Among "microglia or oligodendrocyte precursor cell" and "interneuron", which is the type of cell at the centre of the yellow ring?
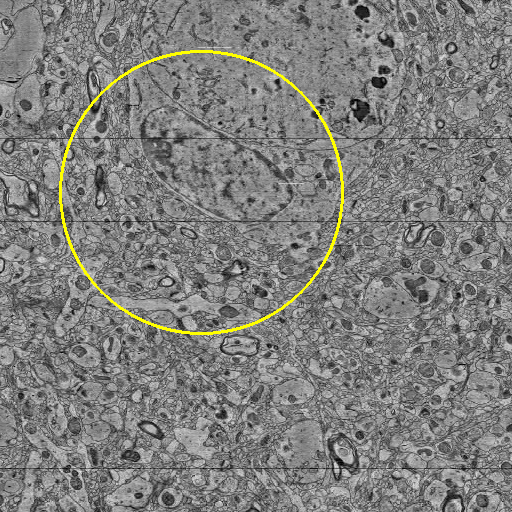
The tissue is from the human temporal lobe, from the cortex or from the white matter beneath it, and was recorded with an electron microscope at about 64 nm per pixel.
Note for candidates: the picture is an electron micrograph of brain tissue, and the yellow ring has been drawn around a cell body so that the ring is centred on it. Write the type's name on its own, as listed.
microglia or oligodendrocyte precursor cell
